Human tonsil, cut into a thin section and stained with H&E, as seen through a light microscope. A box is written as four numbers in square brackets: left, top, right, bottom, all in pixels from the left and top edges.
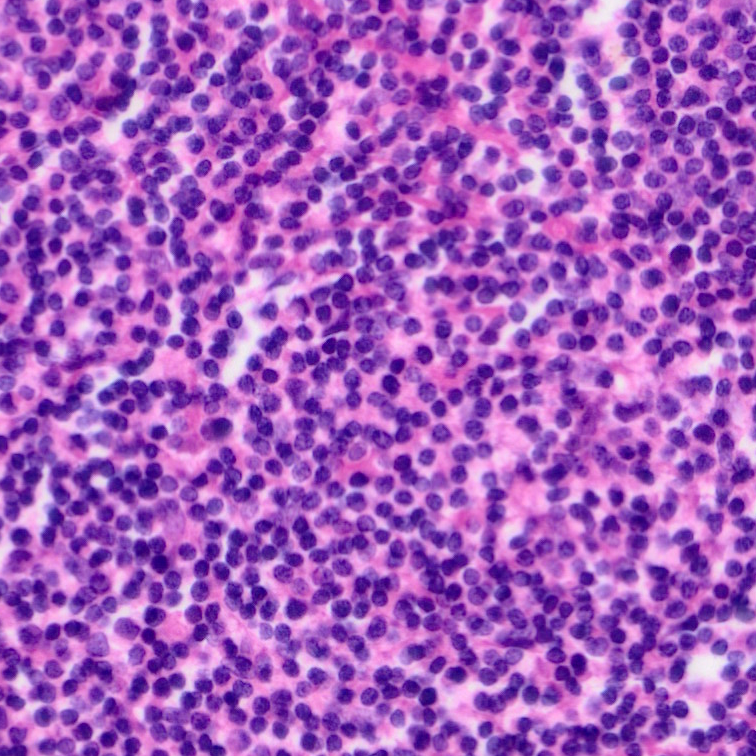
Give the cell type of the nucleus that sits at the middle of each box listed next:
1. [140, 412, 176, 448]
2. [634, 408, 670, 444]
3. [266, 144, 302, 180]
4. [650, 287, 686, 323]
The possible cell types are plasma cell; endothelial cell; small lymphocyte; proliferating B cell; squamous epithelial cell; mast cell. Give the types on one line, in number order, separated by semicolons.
small lymphocyte; proliferating B cell; small lymphocyte; small lymphocyte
